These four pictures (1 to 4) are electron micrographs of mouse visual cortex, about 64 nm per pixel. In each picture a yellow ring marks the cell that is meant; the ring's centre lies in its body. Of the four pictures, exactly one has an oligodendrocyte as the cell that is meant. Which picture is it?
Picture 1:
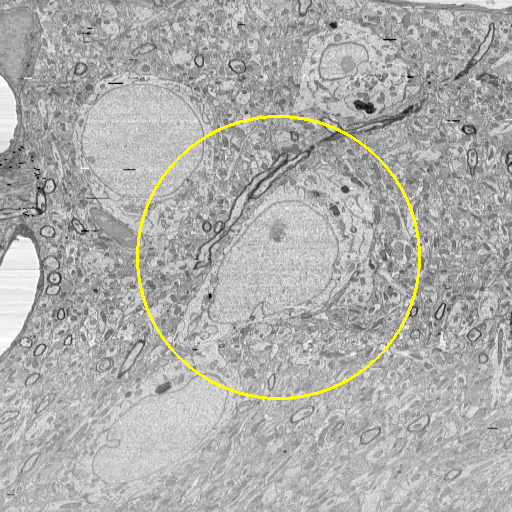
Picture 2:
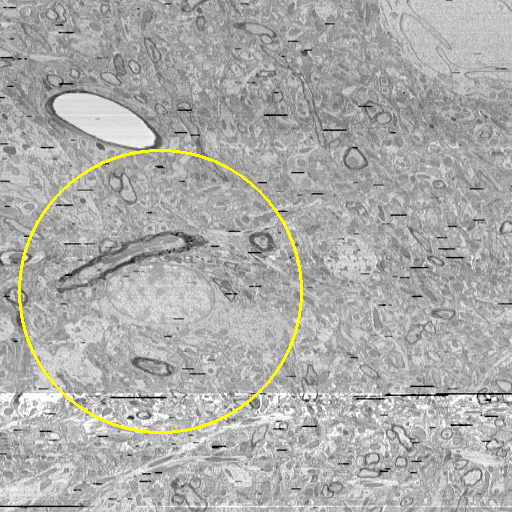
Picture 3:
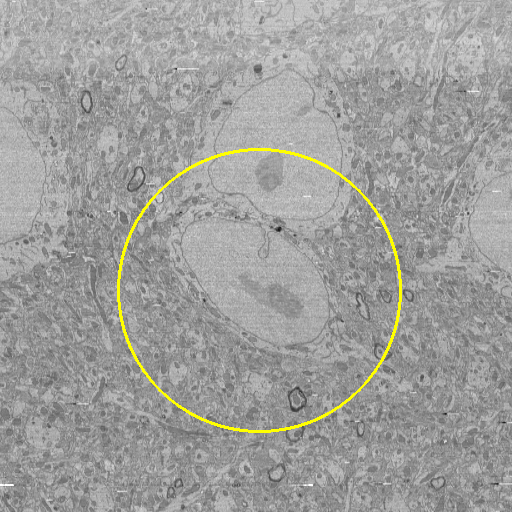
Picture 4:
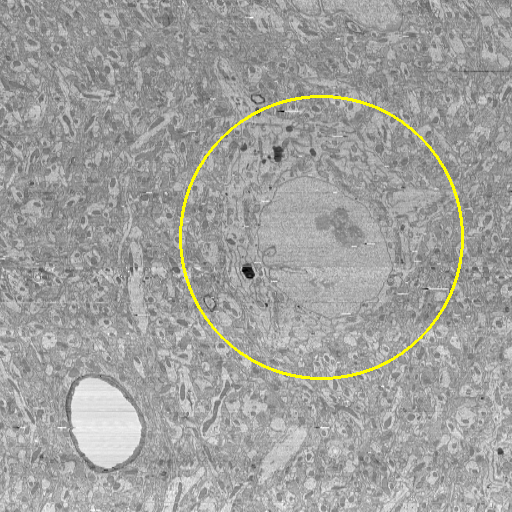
The oligodendrocyte is the one in picture 2.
